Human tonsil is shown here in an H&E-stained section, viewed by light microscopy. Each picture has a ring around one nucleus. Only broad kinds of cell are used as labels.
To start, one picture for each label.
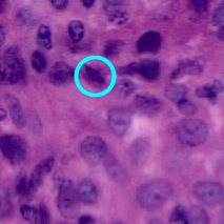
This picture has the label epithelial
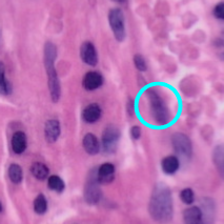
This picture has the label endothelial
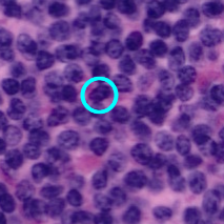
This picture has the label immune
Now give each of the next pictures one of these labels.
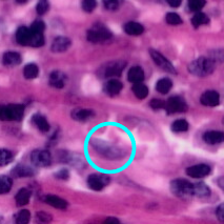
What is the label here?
endothelial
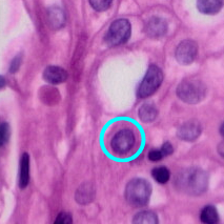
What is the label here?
epithelial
